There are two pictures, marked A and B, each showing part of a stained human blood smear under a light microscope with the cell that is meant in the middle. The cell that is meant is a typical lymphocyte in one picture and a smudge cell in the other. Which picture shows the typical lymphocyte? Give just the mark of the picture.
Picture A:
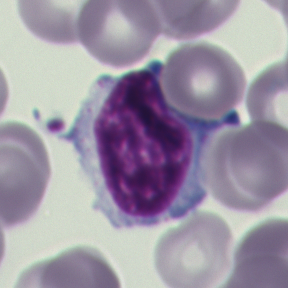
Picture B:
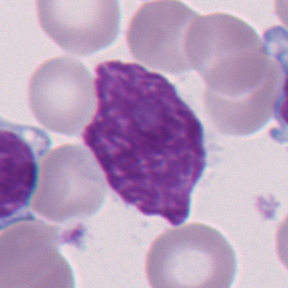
A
